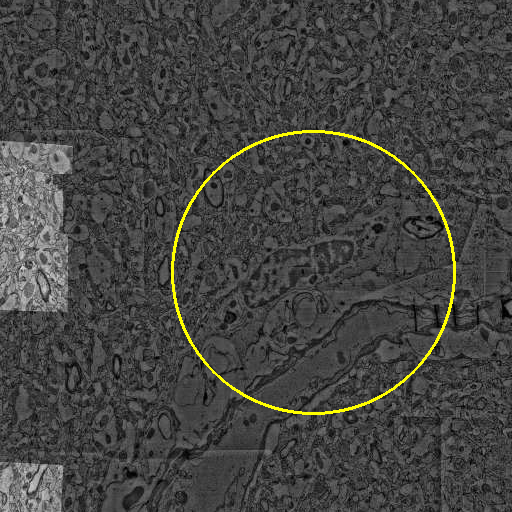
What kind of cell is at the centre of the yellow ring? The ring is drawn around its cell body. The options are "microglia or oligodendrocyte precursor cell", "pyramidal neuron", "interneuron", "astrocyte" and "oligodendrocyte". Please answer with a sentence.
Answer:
The yellow ring marks the cell body of a microglial cell or oligodendrocyte precursor cell.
